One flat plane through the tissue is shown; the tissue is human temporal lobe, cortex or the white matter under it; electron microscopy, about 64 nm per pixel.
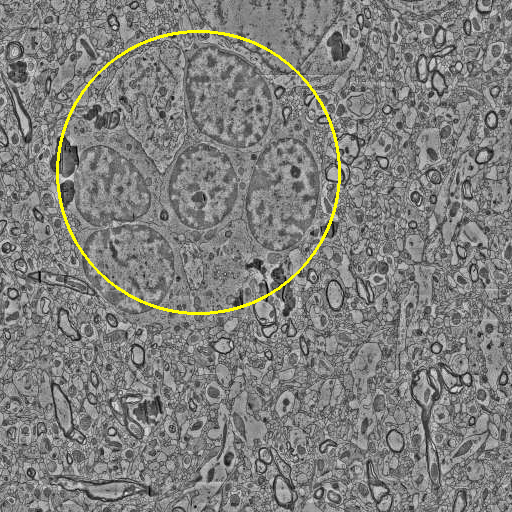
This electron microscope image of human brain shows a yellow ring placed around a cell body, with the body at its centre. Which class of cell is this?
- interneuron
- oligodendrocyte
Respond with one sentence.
The cell body at the ring's centre is an oligodendrocyte.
